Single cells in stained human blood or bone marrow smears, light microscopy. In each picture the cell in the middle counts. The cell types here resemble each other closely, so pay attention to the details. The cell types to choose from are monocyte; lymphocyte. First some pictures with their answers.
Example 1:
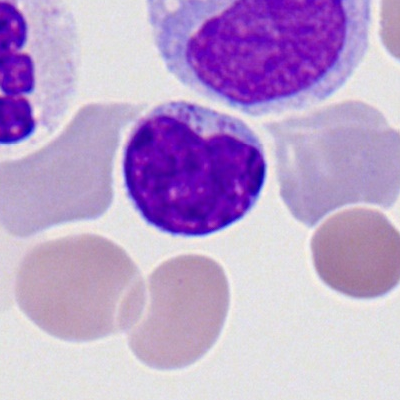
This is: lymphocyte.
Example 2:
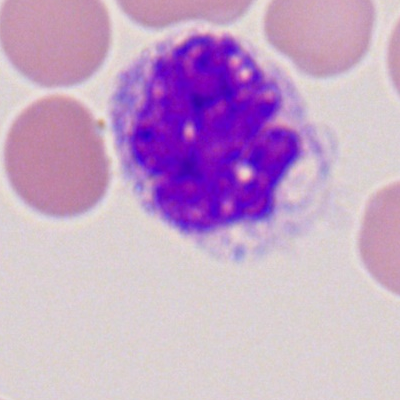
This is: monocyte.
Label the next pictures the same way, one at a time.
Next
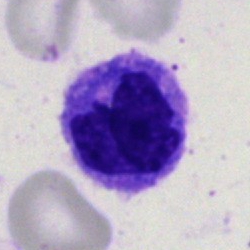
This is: monocyte.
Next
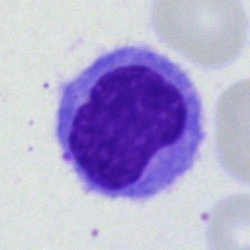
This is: monocyte.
